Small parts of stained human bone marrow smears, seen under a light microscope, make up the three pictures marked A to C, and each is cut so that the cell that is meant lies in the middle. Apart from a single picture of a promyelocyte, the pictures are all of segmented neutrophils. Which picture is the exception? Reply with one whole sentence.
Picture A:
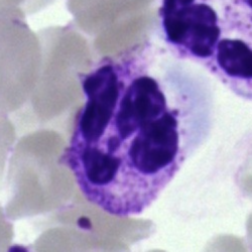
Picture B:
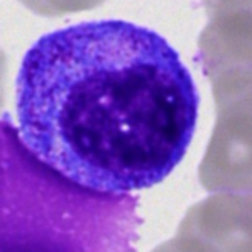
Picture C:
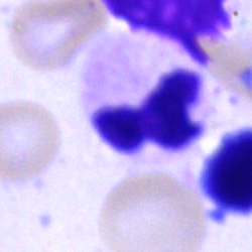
Picture B shows the promyelocyte.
